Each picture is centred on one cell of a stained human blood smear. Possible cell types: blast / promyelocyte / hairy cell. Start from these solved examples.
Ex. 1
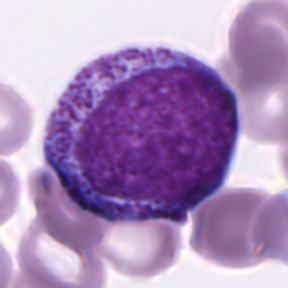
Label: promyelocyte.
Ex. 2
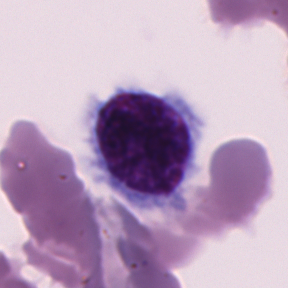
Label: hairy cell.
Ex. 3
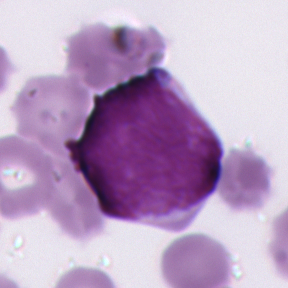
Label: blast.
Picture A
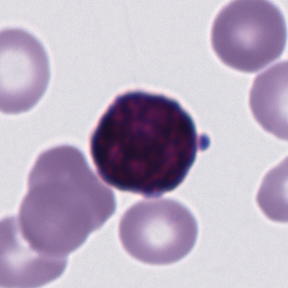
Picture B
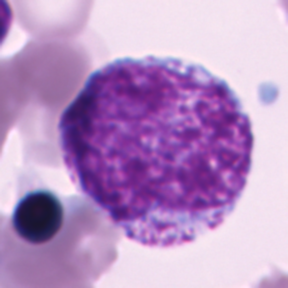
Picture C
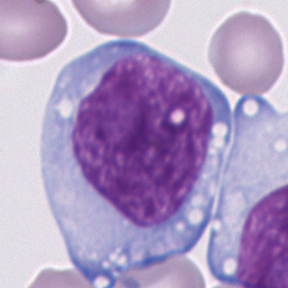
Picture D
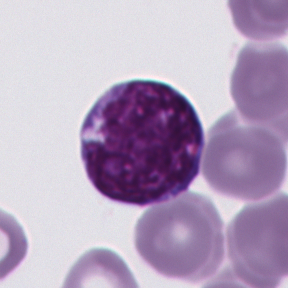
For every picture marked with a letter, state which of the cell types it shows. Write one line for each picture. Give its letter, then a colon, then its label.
A: blast.
B: promyelocyte.
C: blast.
D: blast.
